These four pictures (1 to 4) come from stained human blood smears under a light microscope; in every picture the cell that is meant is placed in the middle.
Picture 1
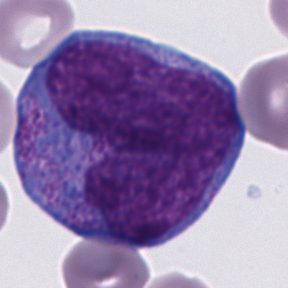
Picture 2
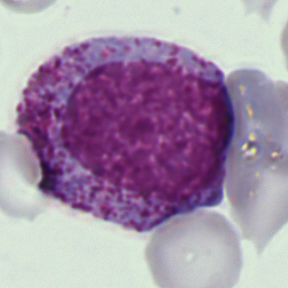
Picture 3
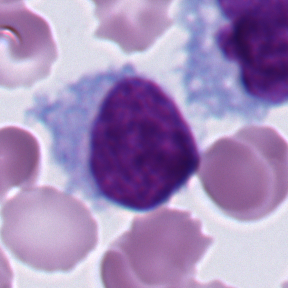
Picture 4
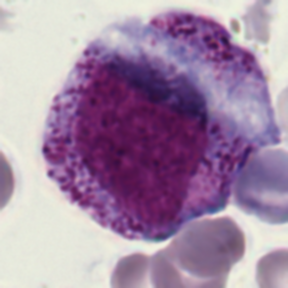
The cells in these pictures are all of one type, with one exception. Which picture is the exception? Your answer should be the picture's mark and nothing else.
3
